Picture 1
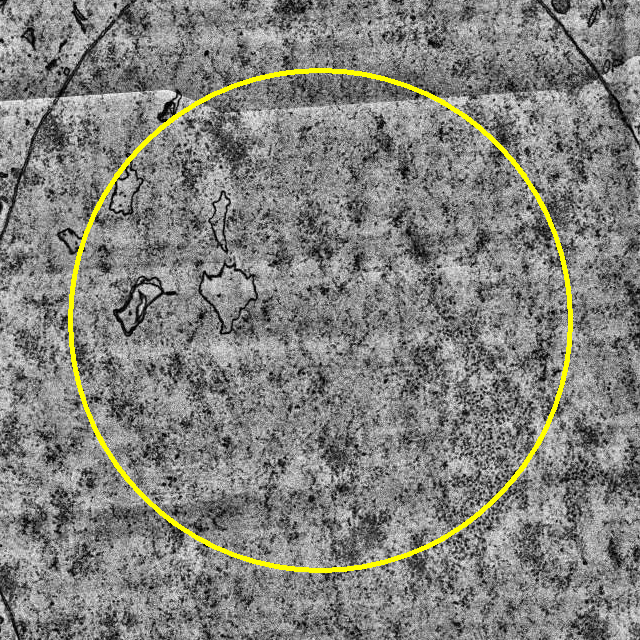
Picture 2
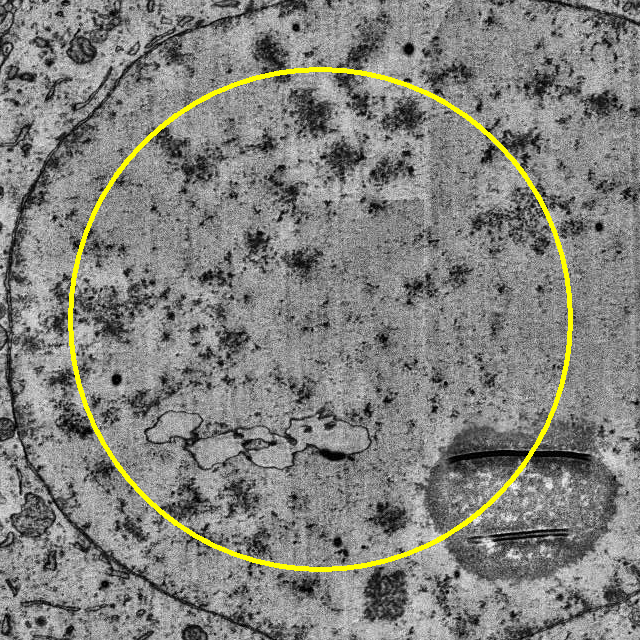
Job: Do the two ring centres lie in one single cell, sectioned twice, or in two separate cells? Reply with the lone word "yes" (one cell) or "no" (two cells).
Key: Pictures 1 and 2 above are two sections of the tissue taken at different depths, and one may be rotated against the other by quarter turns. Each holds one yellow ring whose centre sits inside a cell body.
no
